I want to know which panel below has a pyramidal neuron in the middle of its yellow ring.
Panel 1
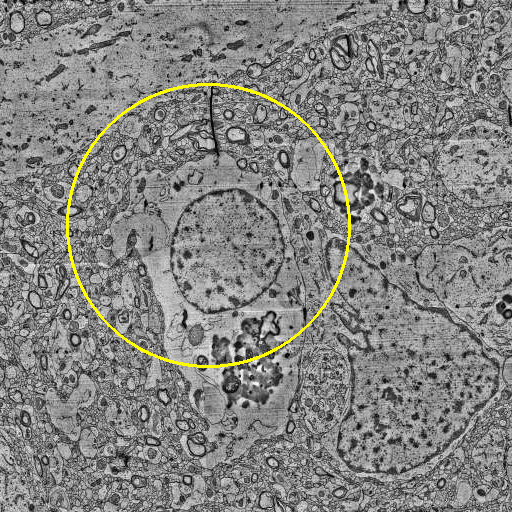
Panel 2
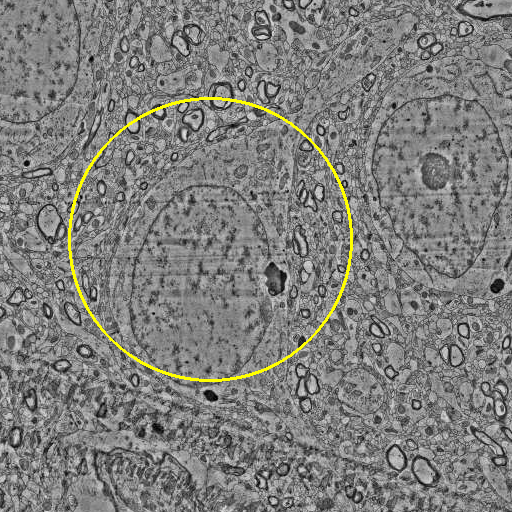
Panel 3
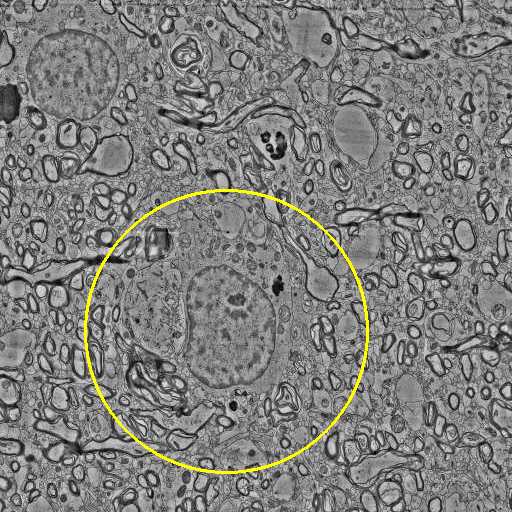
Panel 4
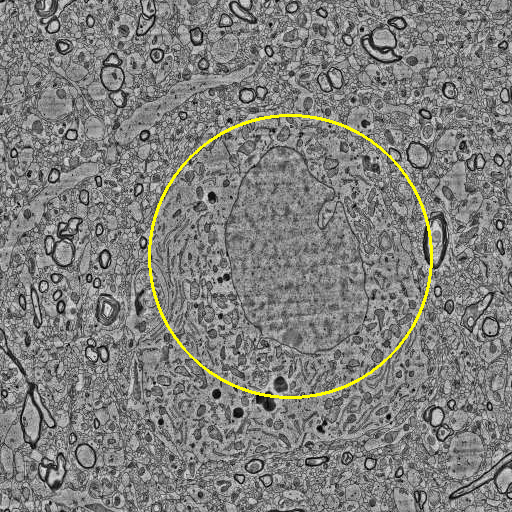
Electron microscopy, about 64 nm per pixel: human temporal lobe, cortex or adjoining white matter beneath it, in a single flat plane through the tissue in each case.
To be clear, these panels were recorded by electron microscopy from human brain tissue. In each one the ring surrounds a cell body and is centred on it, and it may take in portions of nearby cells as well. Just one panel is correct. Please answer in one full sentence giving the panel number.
Panel 2 has the requested cell sitting at the centre of its ring.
